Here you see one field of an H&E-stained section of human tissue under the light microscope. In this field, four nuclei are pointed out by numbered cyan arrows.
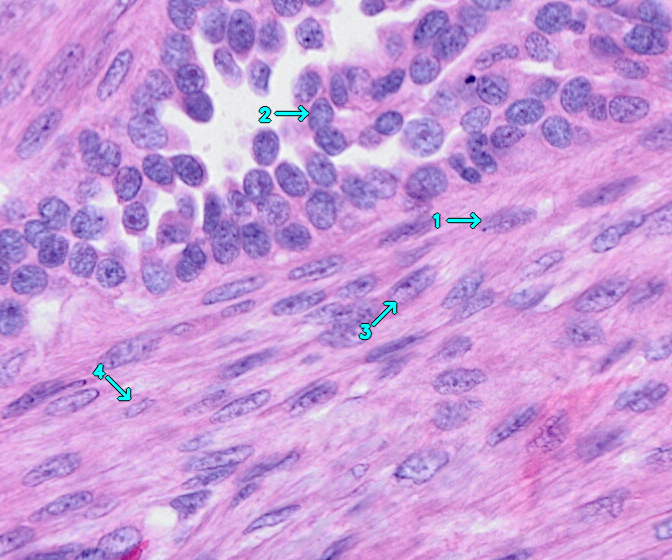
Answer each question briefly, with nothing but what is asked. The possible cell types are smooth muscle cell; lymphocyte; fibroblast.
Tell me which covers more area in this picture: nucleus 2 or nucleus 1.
1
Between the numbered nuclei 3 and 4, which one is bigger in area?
3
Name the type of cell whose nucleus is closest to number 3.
fibroblast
